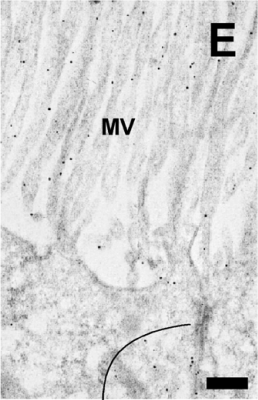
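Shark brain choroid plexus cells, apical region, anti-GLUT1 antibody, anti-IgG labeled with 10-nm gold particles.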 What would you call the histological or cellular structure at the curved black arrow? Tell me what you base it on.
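A small dark dense spot where neighbouring cell membranes meet. It lies just beneath the base of the microvilli.
Answer: junction complex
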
